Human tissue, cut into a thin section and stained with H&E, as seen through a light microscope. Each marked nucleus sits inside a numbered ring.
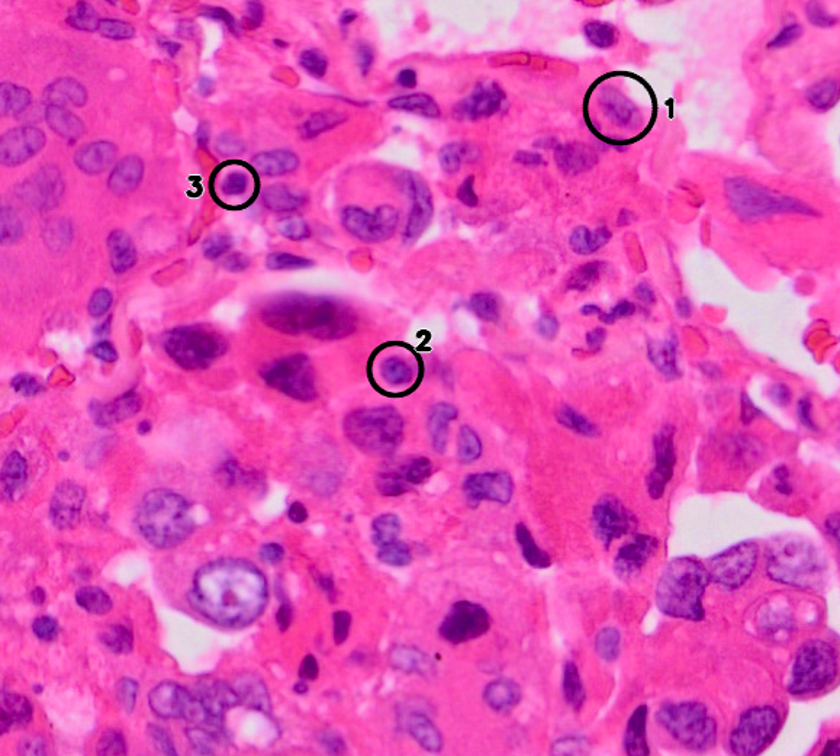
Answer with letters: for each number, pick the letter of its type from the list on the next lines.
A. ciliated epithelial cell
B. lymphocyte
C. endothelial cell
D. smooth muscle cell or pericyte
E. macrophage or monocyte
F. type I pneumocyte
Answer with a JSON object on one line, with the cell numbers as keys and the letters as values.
{"1": "F", "2": "B", "3": "B"}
